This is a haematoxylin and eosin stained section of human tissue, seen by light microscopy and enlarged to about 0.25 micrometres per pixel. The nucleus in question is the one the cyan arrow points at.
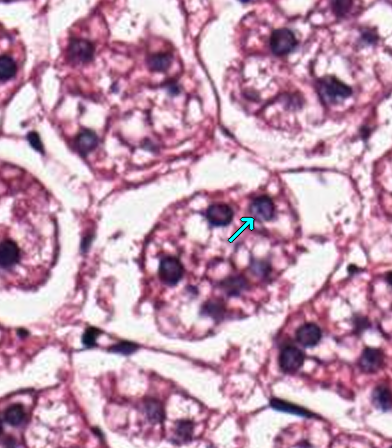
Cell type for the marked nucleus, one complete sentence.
It is to an adrenal cortical cell that the marked nucleus belongs.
